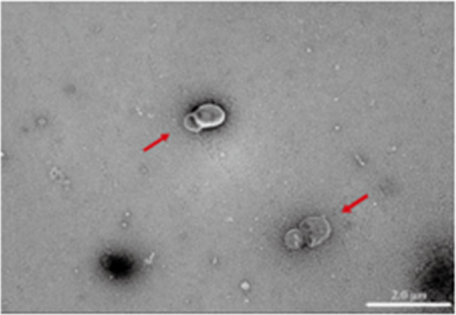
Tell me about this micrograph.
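At lower magnification, a few small rounded particles with cup-shaped, partly collapsed outlines lie scattered over a pale background, some in pairs. Each is well under the length of the scale bar and shows no nucleus or inner structure. Small debris and a few dark blotches lie around them. These are extracellular microvesicles.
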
